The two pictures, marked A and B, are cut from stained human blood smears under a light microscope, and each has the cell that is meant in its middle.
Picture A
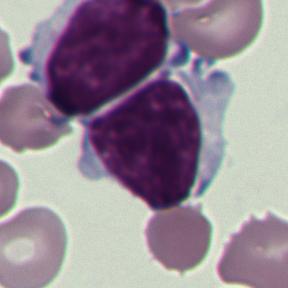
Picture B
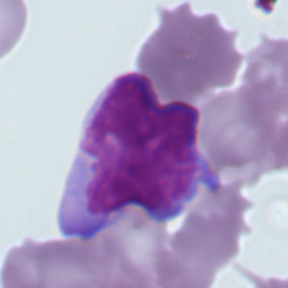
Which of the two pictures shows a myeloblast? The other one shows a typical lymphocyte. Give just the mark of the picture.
B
